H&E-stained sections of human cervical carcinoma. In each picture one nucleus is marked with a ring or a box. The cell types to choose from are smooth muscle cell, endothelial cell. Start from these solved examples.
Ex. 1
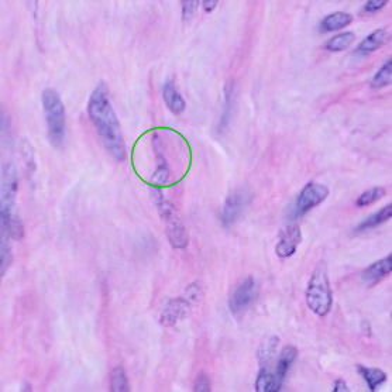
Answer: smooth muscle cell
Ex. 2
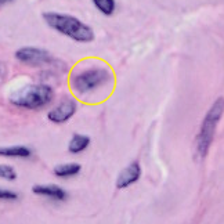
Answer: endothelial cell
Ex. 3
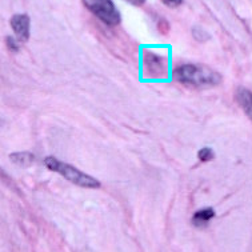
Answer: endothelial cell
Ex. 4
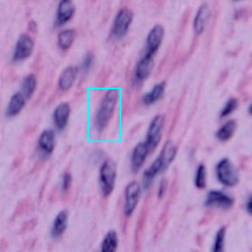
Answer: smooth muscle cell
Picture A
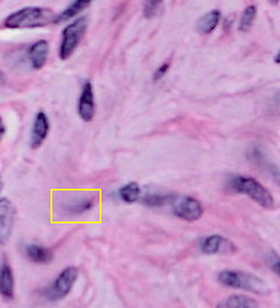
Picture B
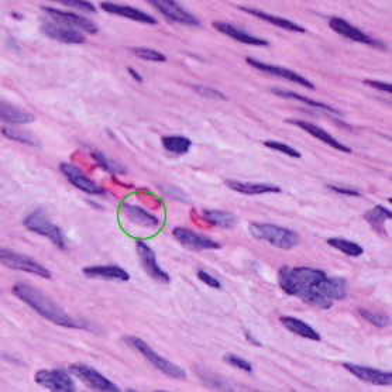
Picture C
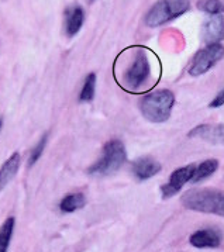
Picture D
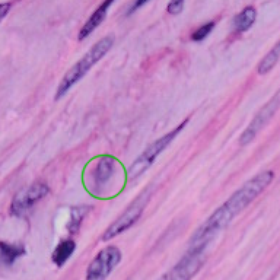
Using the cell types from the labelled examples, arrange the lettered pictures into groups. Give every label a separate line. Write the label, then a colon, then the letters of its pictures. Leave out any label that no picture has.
smooth muscle cell: A, D
endothelial cell: B, C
